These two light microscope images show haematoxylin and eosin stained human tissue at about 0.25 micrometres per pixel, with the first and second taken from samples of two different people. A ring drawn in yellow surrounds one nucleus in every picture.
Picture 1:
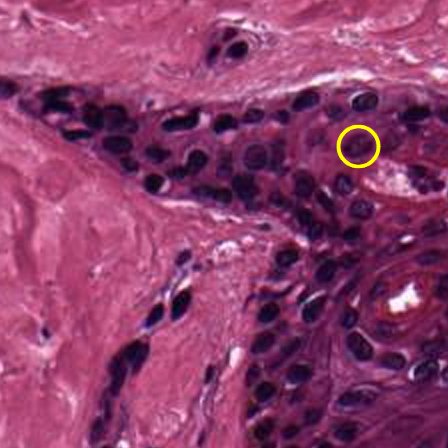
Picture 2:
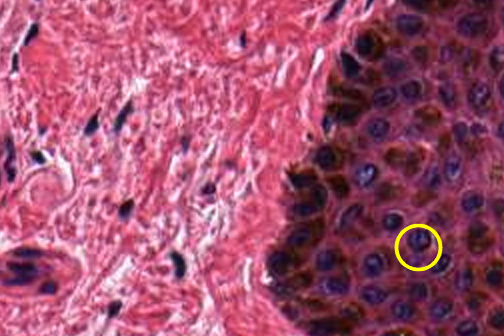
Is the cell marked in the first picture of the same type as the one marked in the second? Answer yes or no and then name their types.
Yes, both are keratinocytes.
